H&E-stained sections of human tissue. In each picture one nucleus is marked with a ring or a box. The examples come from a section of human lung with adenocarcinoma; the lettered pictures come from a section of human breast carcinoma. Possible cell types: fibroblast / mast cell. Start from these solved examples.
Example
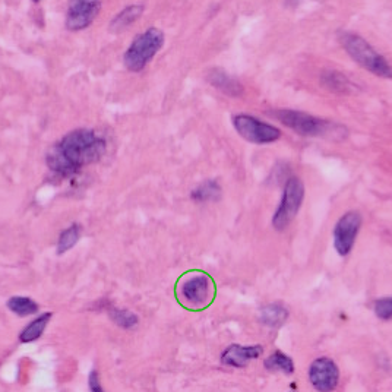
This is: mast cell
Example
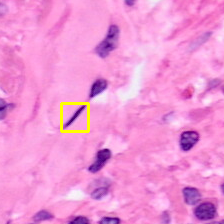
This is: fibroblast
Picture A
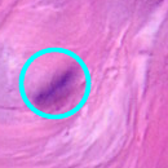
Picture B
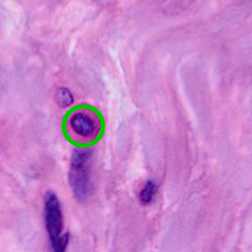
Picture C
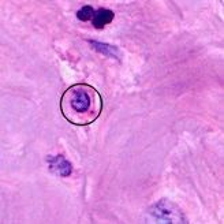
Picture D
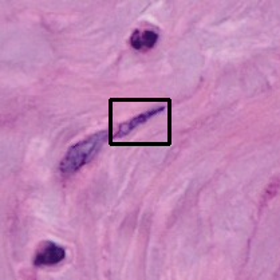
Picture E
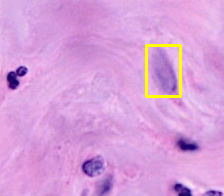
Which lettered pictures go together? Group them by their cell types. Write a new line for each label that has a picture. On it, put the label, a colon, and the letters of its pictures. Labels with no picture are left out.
fibroblast: A, D, E
mast cell: B, C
